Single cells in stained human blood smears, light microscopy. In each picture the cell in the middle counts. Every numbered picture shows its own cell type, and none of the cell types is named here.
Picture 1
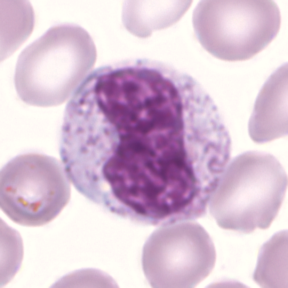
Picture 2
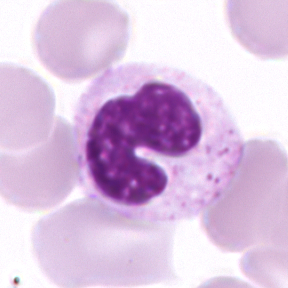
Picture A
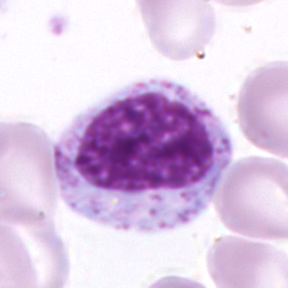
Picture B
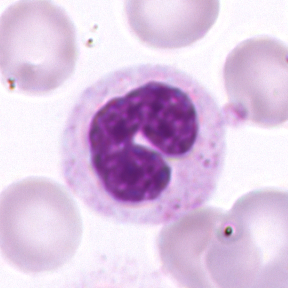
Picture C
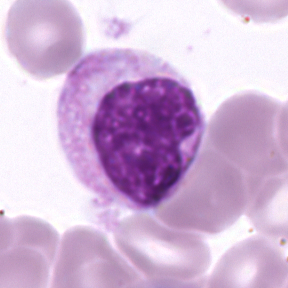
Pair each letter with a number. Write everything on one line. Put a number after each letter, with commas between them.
A 1, B 2, C 1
